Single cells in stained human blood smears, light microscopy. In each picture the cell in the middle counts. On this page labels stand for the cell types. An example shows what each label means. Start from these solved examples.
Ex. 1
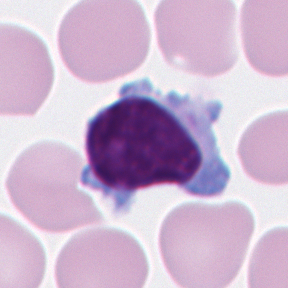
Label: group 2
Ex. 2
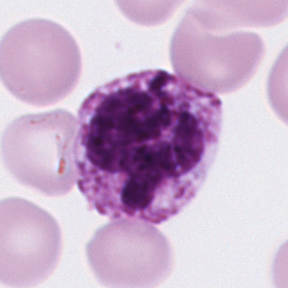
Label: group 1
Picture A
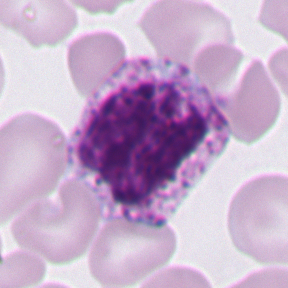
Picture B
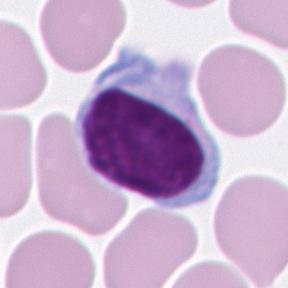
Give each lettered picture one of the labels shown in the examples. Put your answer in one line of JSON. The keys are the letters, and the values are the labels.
{"A": "group 1", "B": "group 2"}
